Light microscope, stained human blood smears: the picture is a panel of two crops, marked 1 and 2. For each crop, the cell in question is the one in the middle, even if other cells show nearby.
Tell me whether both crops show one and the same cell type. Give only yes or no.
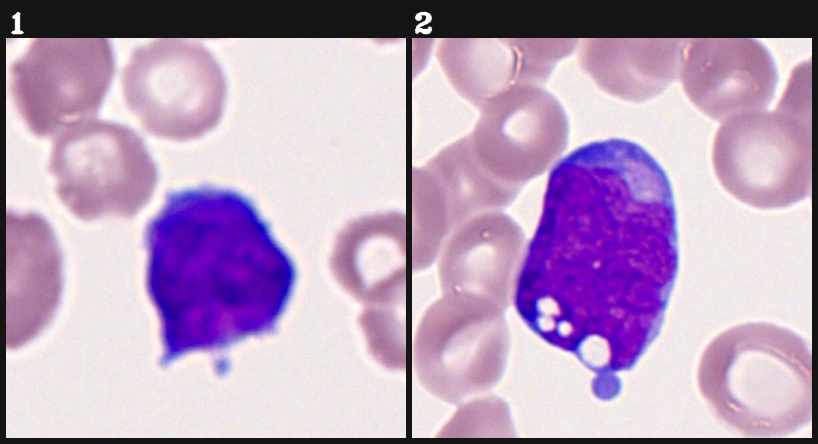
yes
